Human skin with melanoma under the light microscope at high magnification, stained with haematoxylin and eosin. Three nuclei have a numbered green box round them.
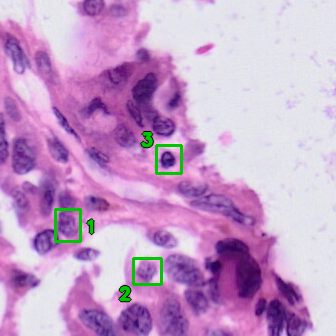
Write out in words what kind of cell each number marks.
Cells 1 and 2 are melanoma cells. Cell 3 is a lymphocyte.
